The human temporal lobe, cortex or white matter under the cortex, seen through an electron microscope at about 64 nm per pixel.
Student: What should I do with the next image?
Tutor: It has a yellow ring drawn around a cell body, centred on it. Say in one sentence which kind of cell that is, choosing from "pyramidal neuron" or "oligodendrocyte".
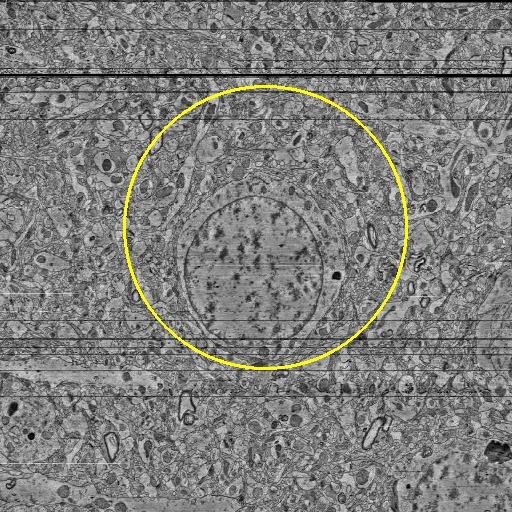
The ring's centre is occupied by a pyramidal neuron.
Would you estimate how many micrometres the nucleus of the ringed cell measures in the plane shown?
The nucleus is approximately 9 micrometers across in this plane.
